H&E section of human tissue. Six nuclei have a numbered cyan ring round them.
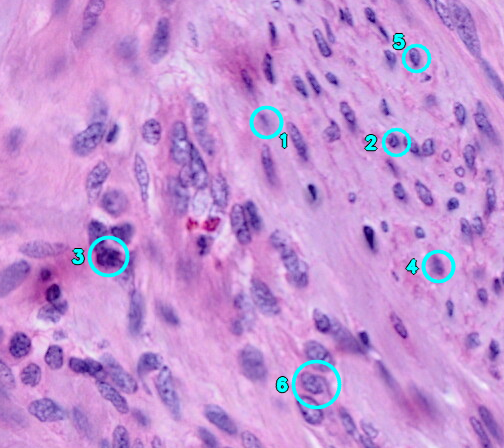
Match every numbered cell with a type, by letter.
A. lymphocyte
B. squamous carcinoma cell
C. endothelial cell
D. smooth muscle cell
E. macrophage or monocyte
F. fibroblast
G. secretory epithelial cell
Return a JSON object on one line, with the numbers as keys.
{"1": "D", "2": "D", "3": "A", "4": "D", "5": "D", "6": "C"}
